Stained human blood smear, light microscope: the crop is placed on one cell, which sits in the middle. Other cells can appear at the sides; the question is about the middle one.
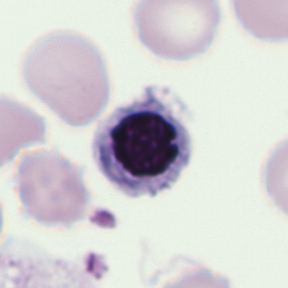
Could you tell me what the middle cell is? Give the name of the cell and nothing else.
normoblast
